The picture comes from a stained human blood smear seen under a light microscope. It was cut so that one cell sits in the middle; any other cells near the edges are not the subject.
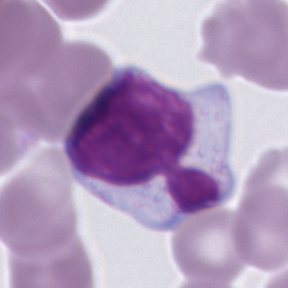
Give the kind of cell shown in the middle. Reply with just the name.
large granular lymphocyte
